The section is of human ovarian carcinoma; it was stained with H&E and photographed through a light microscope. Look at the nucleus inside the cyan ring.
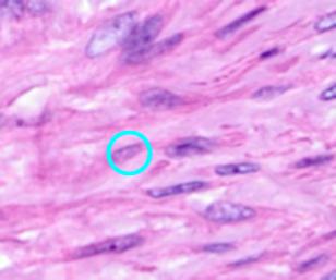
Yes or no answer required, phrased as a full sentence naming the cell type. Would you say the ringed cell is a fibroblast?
Yes, that the ringed cell is a fibroblast is correct.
